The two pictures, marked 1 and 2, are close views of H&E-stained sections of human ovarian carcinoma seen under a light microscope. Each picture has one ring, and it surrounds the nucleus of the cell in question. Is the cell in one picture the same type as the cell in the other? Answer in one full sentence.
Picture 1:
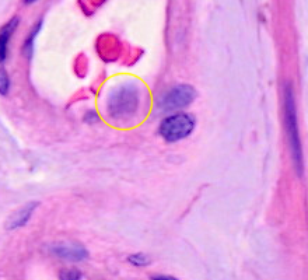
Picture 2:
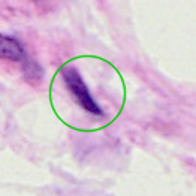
No, the types are not the same, since picture 1 shows an endothelial cell and picture 2 a fibroblast.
